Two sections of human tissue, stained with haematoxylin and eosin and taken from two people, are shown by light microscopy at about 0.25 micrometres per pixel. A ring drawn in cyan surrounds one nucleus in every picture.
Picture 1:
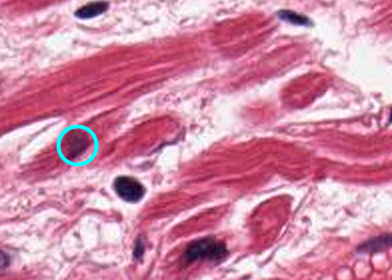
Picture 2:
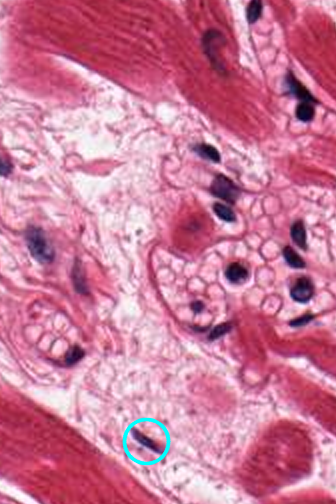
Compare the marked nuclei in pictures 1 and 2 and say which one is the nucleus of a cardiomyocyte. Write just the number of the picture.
1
